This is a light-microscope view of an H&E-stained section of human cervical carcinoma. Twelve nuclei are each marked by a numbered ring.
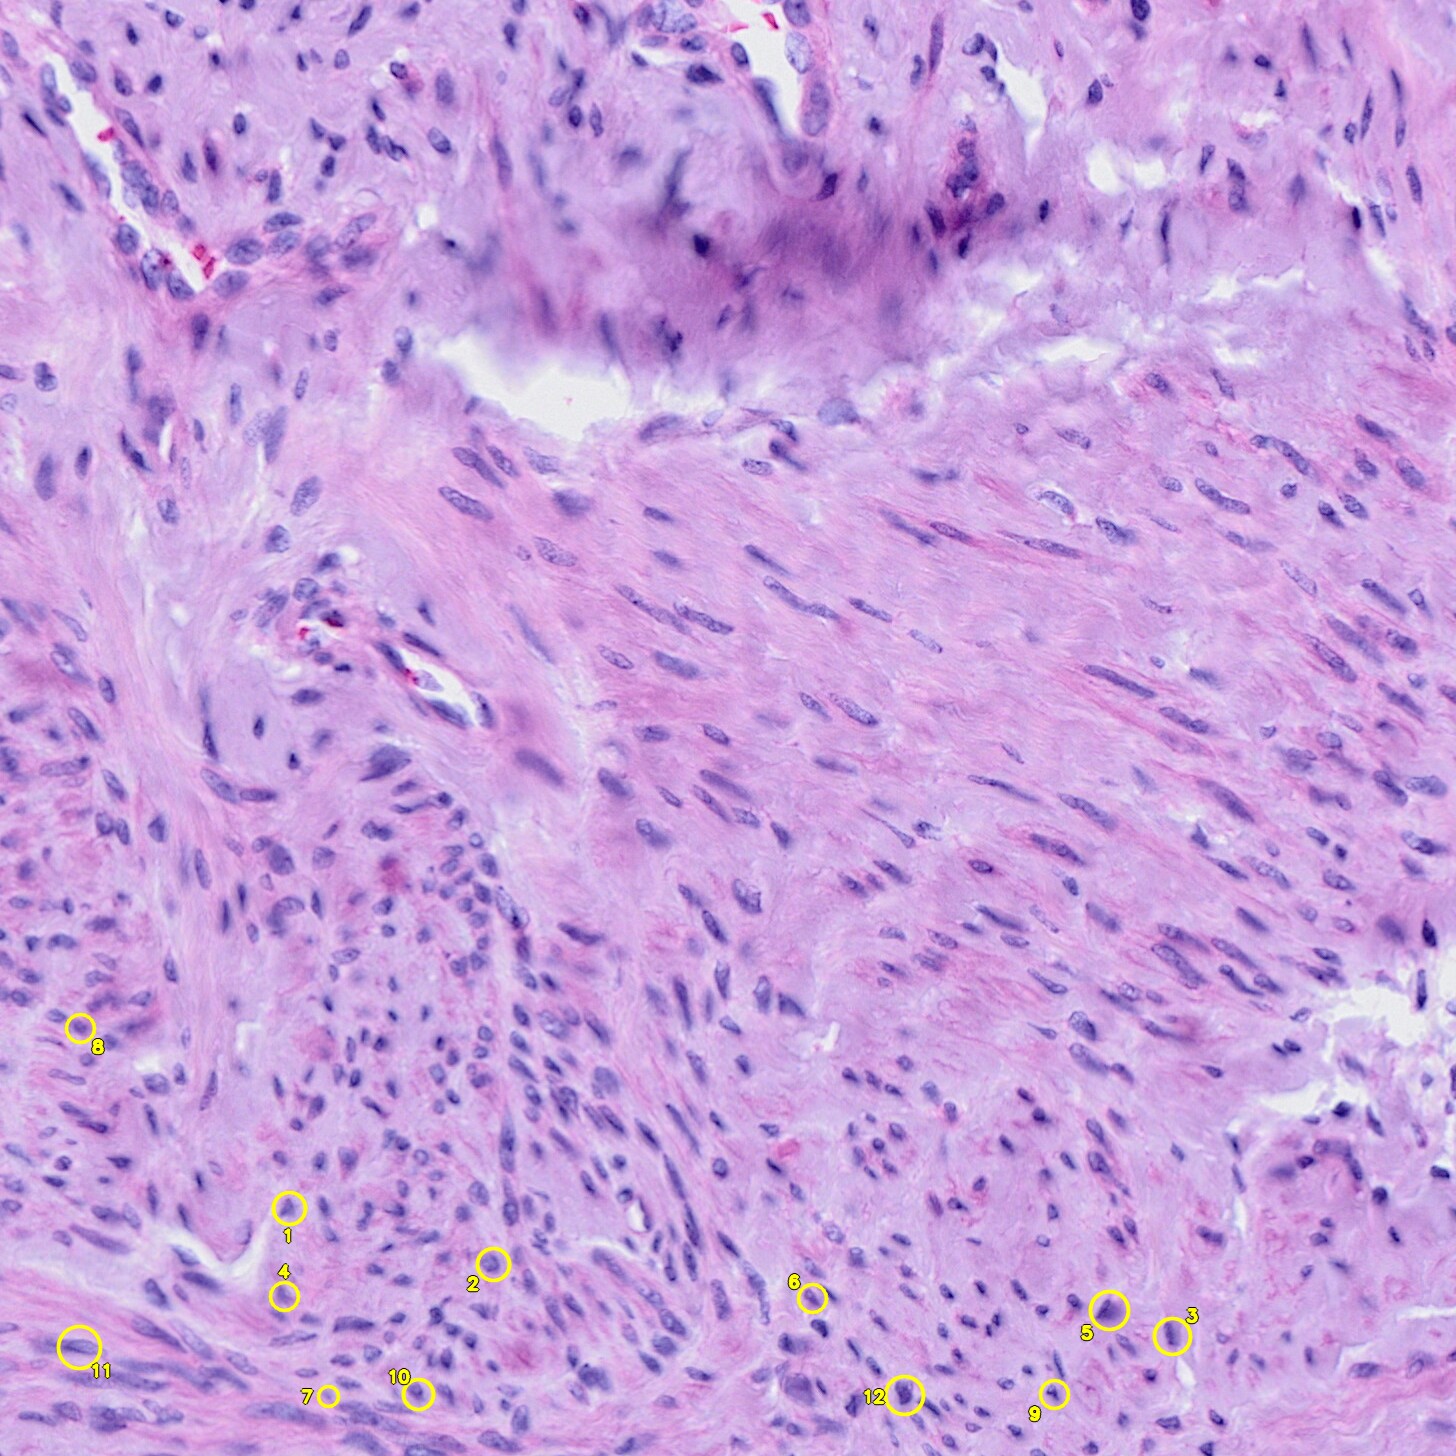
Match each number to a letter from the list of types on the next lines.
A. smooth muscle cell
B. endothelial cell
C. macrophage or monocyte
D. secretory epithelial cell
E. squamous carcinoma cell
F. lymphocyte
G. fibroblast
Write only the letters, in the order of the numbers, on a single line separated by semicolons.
G; A; G; A; G; A; A; A; G; A; A; G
